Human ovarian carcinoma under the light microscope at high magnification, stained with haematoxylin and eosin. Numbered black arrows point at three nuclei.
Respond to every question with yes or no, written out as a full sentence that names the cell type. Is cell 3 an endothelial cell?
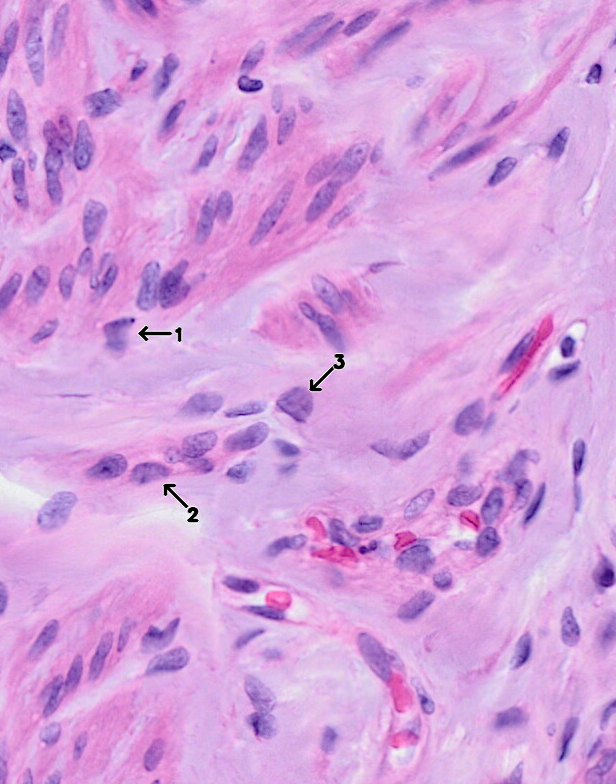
No, cell 3 does not represent an endothelial cell; it represents a fibroblast.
